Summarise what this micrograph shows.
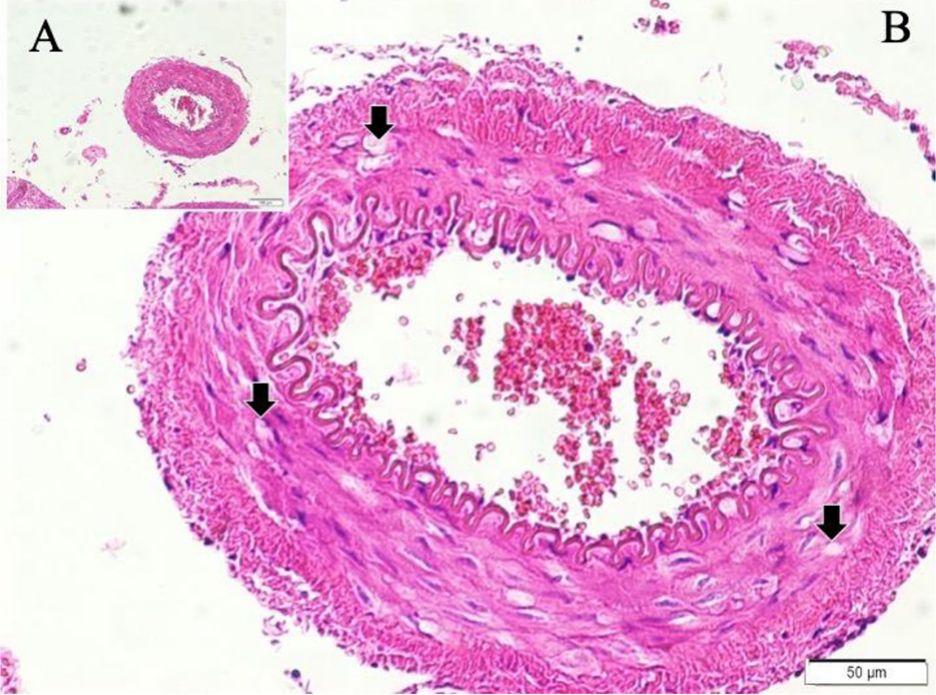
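This is a cross-section of a muscular artery stained with hematoxylin and eosin, with red blood cells clustered in its lumen. Scattered within the wall are small clear, rounded spaces, which appear as vacuoles between the muscle cells. The outer layer is loose and fibrous, and a few blood cells lie beyond it at the outer surface.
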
